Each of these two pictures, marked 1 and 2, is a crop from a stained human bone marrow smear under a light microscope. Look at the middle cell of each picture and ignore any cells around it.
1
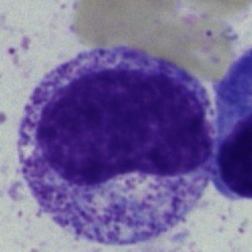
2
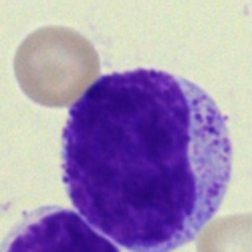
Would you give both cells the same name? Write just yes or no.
yes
